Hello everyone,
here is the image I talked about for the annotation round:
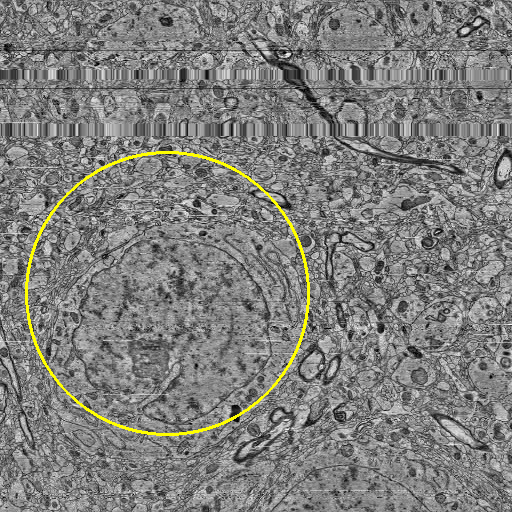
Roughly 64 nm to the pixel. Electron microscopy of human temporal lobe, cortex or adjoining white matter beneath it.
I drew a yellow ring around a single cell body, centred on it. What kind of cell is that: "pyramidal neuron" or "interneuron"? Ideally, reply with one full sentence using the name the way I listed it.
The cell your yellow ring is centred on is an interneuron, going by your list.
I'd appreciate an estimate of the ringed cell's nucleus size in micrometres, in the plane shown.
Roughly 13 micrometres across, measured in this plane.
